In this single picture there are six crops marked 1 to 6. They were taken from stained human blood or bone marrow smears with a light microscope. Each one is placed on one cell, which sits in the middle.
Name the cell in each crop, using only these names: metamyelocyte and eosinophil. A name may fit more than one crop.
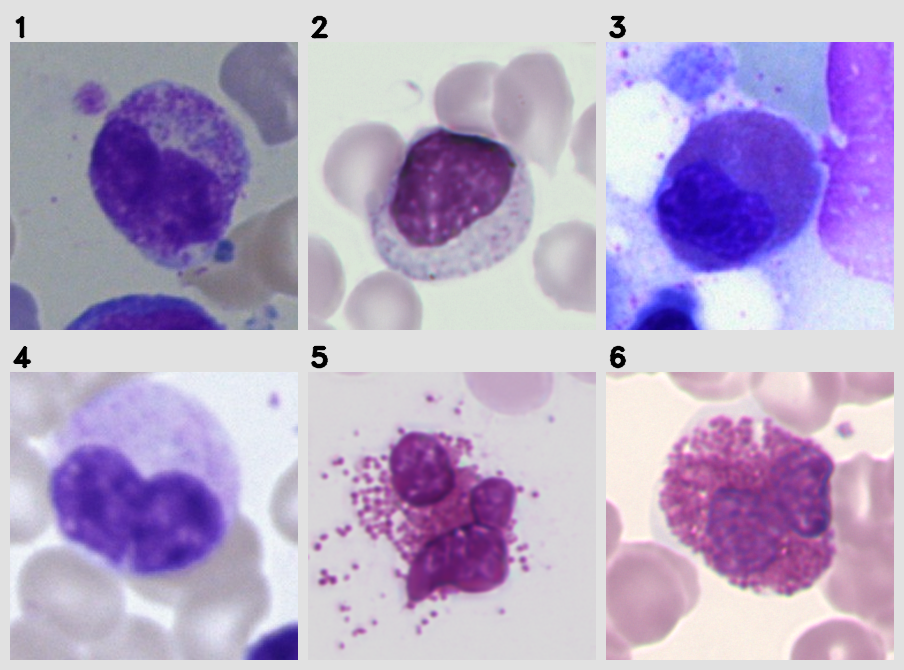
1: metamyelocyte
2: metamyelocyte
3: eosinophil
4: metamyelocyte
5: eosinophil
6: eosinophil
